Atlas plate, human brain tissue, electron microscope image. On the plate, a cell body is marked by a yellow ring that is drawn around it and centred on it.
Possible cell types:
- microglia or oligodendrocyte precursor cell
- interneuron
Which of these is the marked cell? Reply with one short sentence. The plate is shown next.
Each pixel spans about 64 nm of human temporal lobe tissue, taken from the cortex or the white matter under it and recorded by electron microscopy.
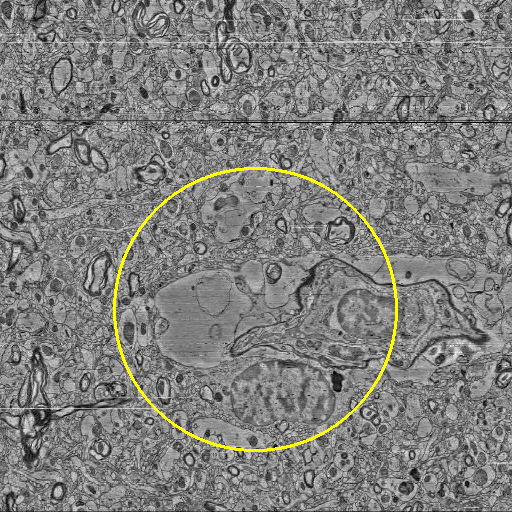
The marked cell is a microglial cell or oligodendrocyte precursor cell.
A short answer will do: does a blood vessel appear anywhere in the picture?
Yes, a vessel shows somewhere in the image.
